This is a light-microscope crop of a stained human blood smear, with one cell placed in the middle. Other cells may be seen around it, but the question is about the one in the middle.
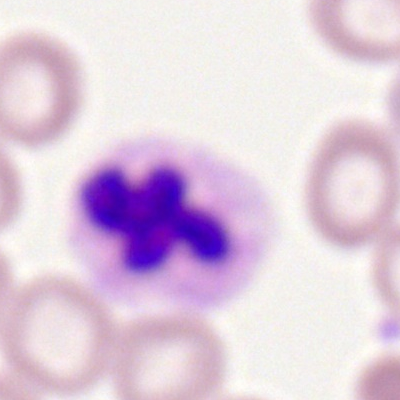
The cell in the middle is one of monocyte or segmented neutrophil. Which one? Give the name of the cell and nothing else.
segmented neutrophil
